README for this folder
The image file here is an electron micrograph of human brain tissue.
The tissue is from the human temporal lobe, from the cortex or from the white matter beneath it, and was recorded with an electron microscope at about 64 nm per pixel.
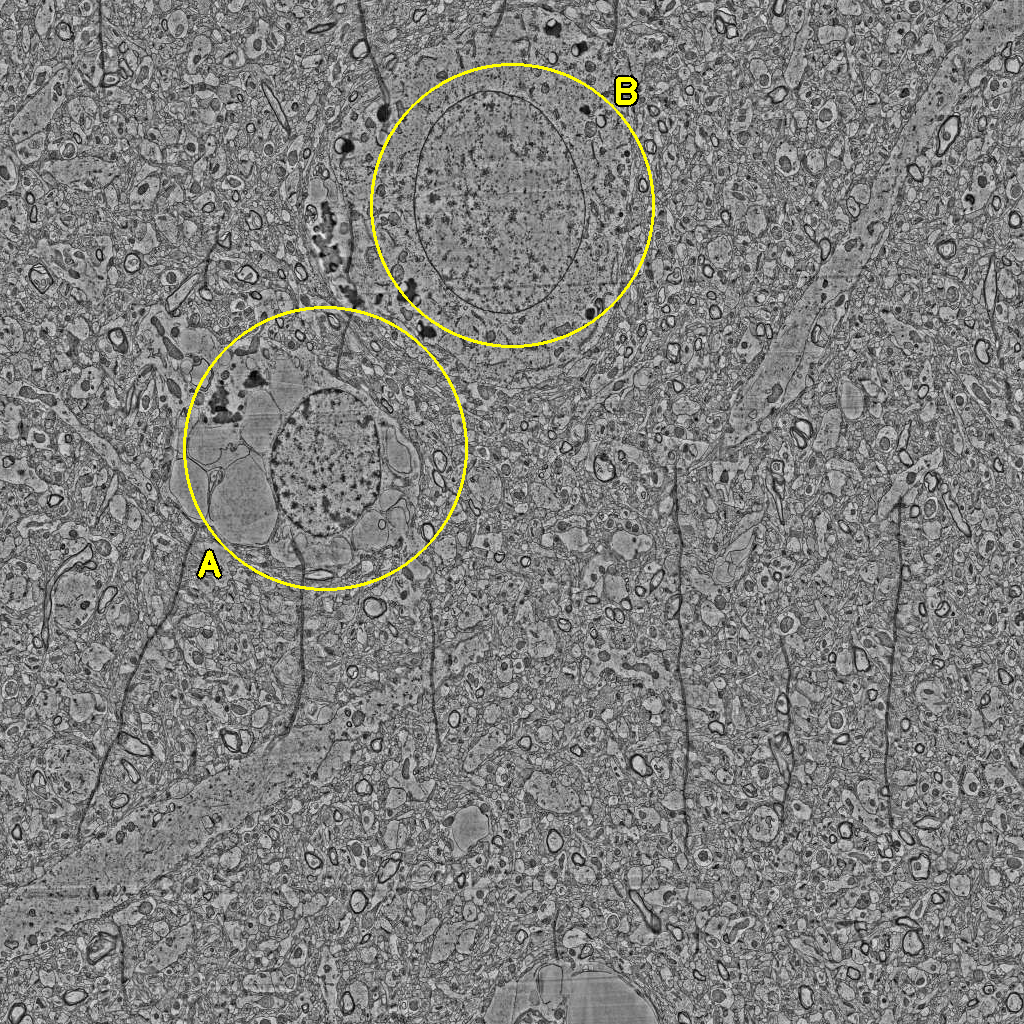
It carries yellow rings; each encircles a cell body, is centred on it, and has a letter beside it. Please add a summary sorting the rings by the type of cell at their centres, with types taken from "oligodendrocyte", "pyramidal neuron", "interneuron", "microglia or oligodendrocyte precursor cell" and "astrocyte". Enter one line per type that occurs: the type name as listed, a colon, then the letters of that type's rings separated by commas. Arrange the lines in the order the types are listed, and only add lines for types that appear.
pyramidal neuron: B
astrocyte: A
